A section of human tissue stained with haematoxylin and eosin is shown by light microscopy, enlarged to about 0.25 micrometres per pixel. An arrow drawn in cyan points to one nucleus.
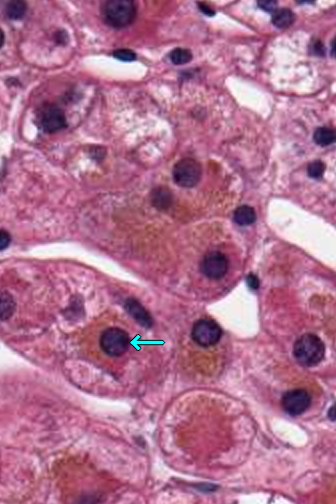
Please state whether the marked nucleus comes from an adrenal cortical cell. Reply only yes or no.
yes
